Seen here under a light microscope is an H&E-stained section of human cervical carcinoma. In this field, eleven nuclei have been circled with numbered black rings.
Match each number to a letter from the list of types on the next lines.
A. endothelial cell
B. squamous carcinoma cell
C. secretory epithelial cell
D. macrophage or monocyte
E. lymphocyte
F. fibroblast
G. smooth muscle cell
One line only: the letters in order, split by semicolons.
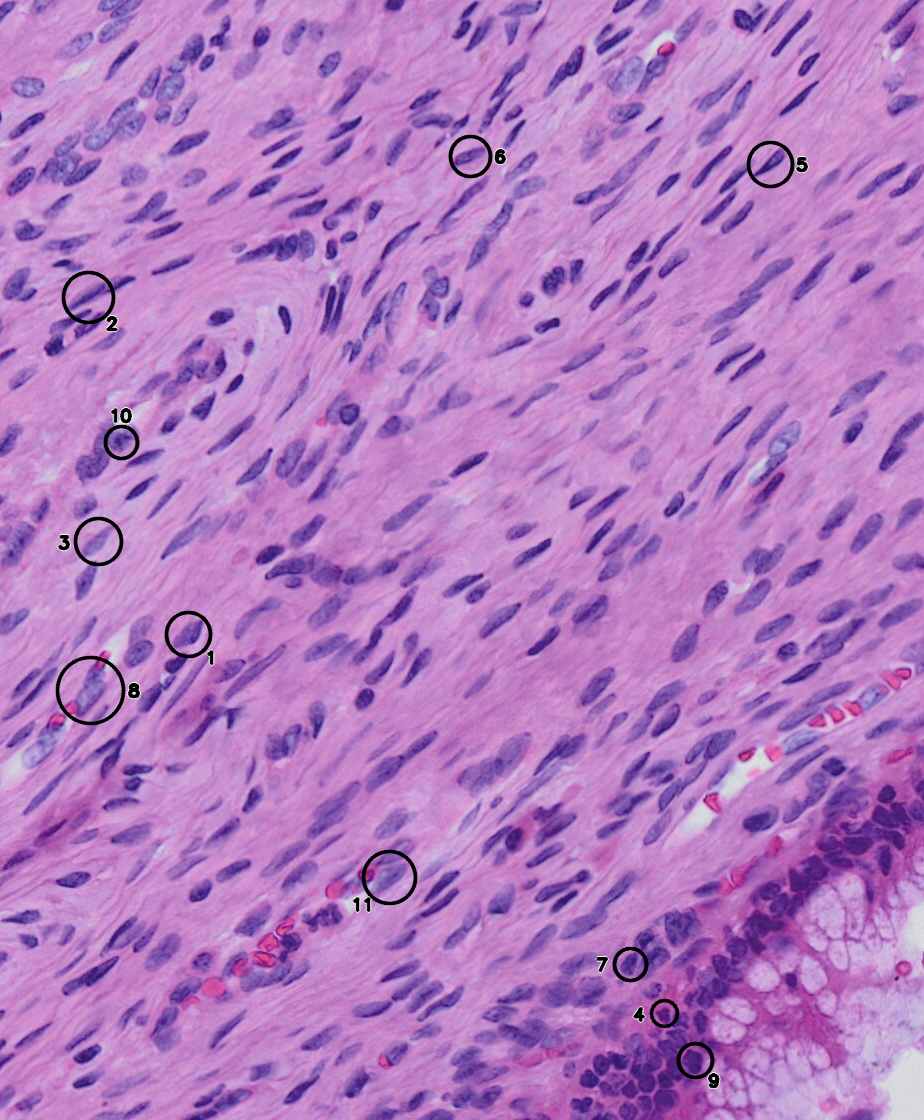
F; F; G; C; F; F; E; A; C; A; A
